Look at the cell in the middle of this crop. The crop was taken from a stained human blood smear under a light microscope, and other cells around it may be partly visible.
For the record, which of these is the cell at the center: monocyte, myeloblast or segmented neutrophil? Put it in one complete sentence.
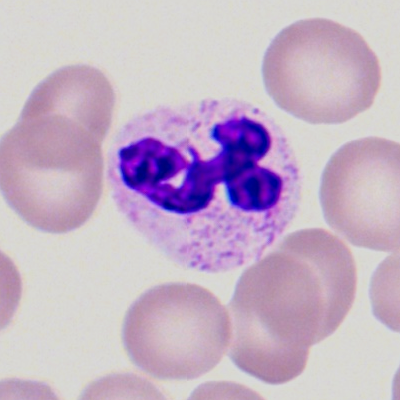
Here the centrally located cell is a segmented neutrophil.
